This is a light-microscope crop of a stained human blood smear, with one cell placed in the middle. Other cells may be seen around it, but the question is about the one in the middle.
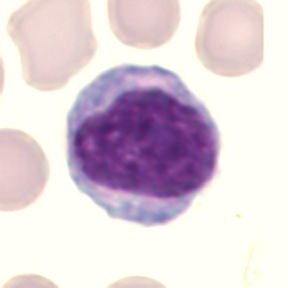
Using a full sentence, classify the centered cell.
On this slide crop, the central cell is a plasma cell.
